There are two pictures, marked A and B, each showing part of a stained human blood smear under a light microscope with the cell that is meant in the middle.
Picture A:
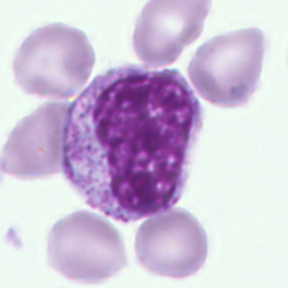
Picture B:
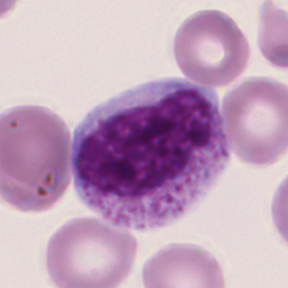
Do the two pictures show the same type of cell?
yes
